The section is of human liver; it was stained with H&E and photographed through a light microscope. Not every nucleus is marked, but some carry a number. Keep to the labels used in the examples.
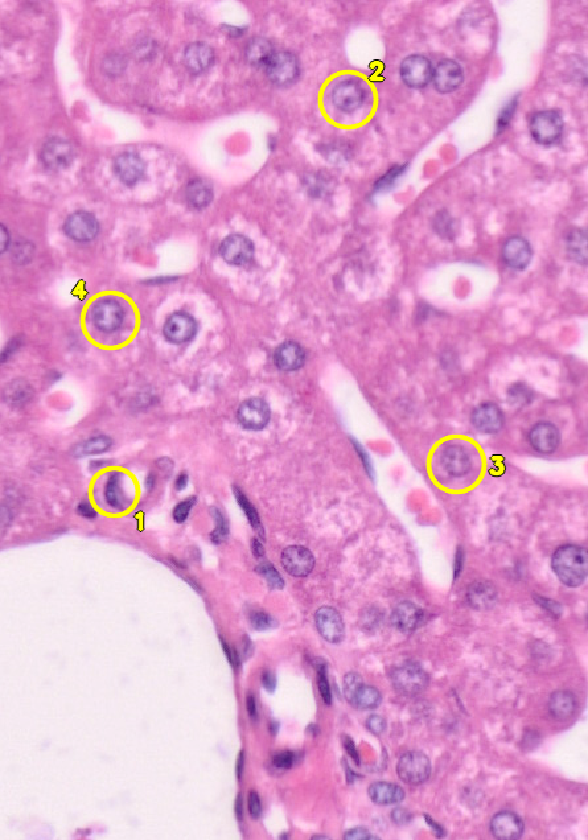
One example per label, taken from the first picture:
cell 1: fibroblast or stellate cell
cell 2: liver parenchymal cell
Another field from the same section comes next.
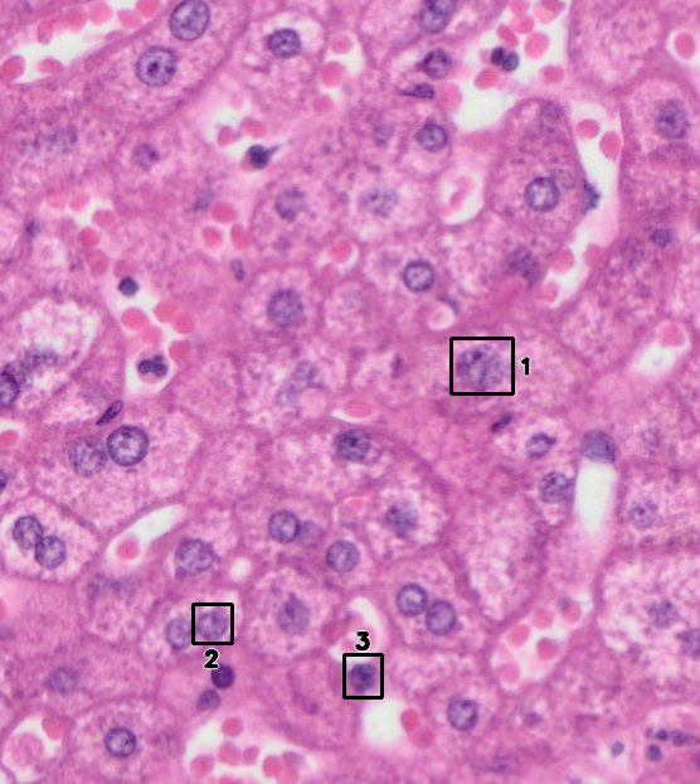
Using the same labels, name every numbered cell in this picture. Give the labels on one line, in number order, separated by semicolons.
liver parenchymal cell; liver parenchymal cell; fibroblast or stellate cell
